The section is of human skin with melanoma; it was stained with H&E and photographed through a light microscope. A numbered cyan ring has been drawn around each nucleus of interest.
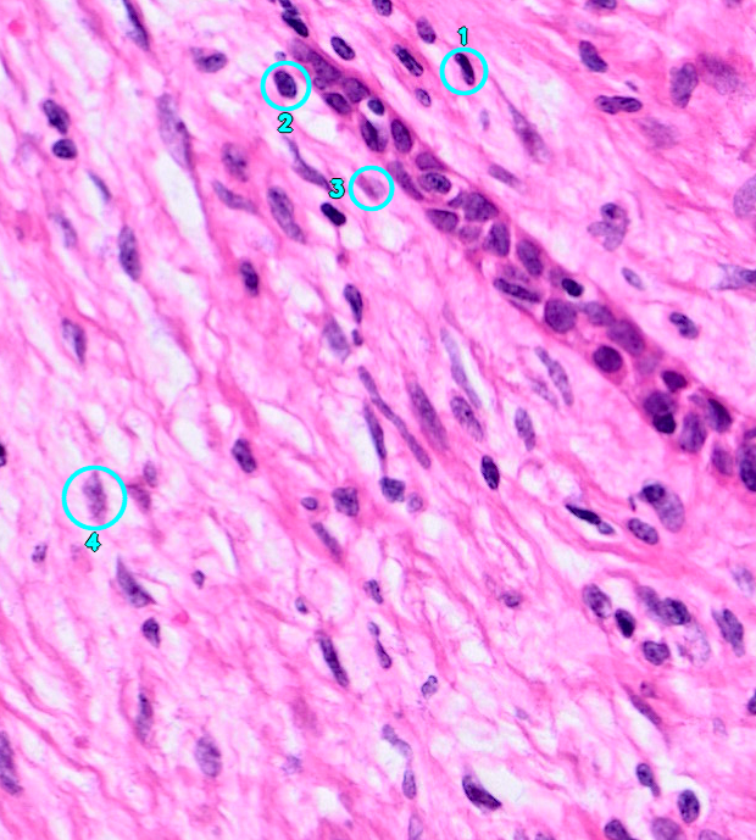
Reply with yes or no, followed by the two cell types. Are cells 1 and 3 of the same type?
No, not so; cell 1 is a lymphocyte and cell 3 is a fibroblast or myofibroblast.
